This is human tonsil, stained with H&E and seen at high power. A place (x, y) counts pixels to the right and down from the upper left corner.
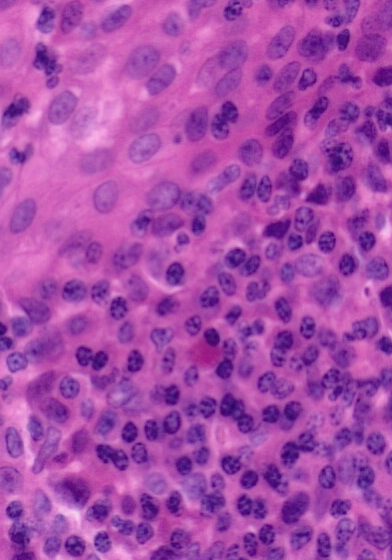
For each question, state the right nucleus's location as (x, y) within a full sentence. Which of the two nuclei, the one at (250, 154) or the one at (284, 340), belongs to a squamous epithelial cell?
Which one belongs to a squamous epithelial cell? The nucleus at (250, 154) does.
